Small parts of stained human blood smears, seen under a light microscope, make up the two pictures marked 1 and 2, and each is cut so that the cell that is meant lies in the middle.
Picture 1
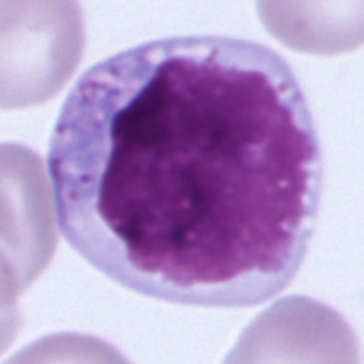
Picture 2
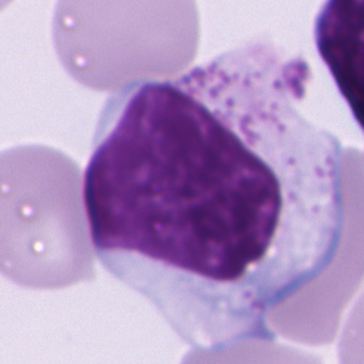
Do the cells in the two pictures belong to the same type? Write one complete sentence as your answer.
Yes, both cells are large granular lymphocytes.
